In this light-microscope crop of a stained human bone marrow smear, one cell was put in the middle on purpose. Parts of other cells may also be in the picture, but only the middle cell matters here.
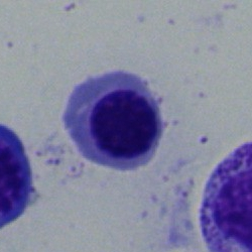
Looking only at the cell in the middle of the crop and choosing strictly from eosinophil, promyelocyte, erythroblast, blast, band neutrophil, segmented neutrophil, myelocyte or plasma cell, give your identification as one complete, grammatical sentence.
The cell in the middle of this crop is an erythroblast.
